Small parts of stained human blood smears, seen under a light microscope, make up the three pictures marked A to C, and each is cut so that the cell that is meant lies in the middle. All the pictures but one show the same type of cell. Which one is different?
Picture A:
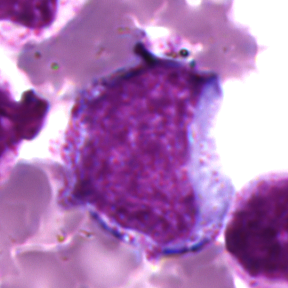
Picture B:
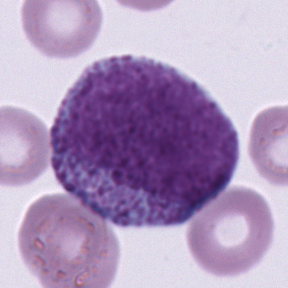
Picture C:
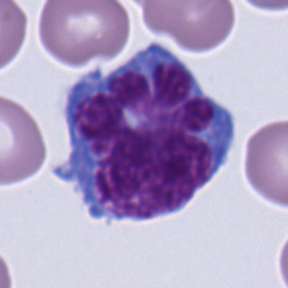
C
